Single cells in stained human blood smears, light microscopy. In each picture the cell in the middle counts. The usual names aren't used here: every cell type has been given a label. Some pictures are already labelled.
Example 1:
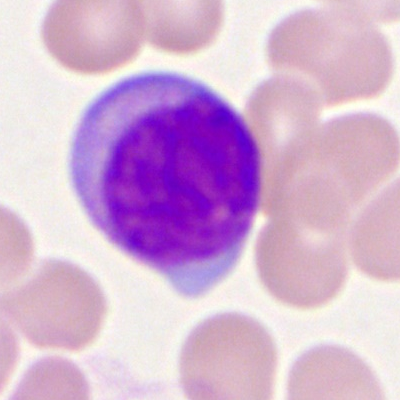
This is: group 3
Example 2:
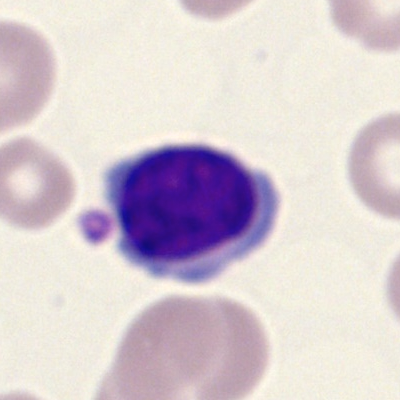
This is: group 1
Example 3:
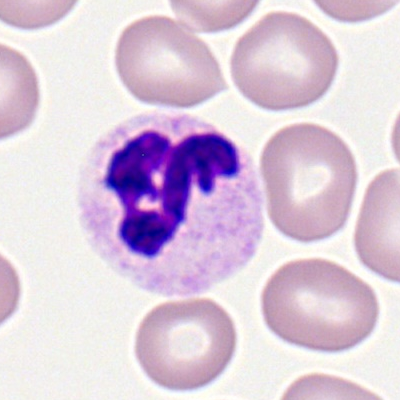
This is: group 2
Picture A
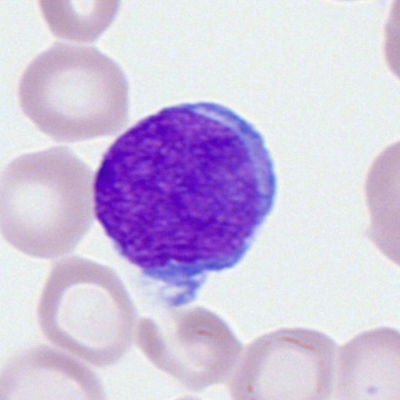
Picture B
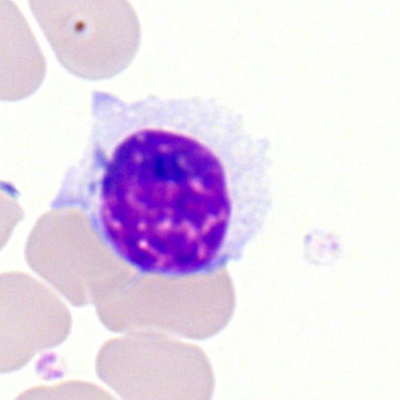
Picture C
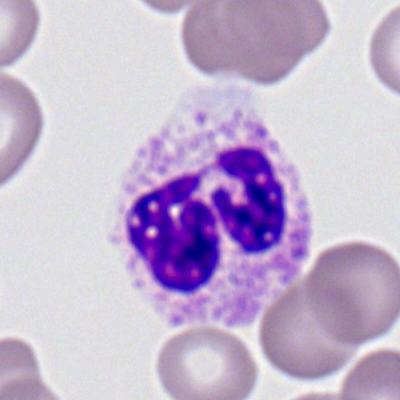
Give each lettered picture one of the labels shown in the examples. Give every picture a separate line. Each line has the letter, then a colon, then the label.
A: group 3
B: group 1
C: group 2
